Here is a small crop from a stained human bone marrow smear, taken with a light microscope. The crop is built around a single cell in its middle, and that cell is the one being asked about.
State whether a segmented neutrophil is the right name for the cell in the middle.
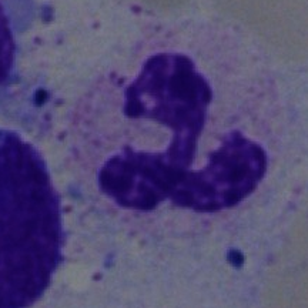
yes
